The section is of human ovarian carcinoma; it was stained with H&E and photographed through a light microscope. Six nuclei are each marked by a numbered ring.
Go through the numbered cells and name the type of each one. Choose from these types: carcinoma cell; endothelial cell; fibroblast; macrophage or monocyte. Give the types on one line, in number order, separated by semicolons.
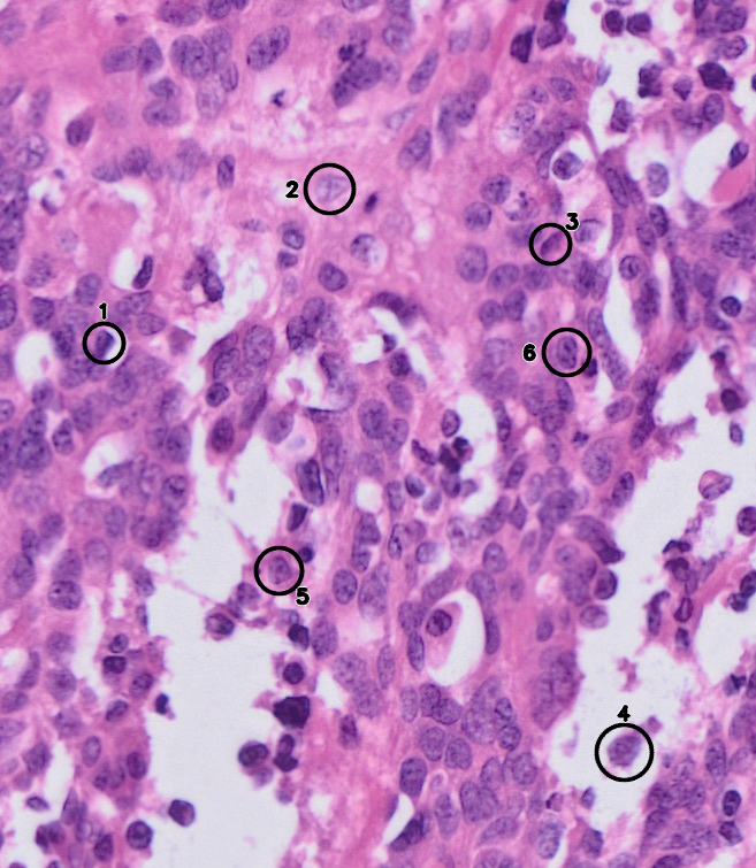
carcinoma cell; fibroblast; carcinoma cell; carcinoma cell; macrophage or monocyte; macrophage or monocyte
